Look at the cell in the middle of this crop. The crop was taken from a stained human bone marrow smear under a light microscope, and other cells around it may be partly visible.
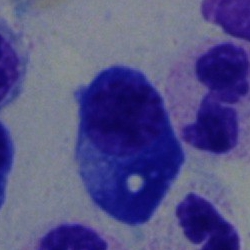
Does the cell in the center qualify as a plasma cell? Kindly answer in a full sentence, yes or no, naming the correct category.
Yes, the cell located at the center is a plasma cell.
